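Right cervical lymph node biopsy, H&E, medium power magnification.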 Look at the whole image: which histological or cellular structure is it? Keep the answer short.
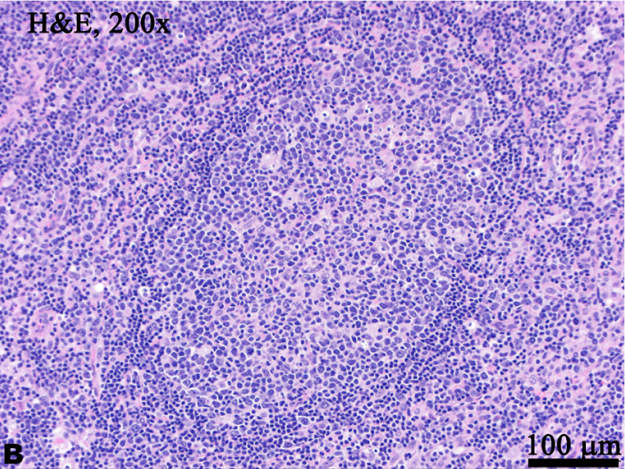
reactive germinal center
